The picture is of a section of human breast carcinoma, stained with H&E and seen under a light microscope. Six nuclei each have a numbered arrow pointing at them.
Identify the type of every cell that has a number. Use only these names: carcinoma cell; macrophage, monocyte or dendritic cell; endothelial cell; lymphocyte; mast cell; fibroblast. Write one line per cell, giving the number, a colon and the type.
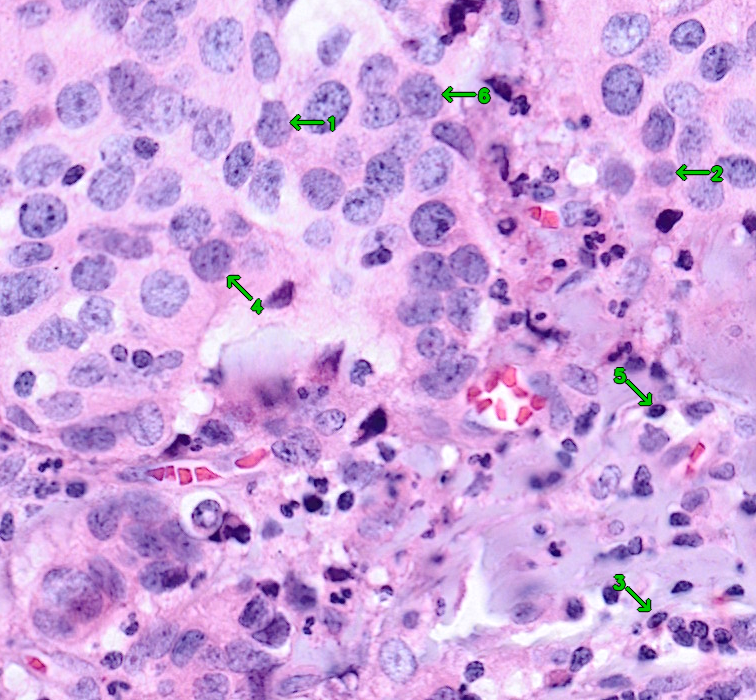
1: carcinoma cell
2: carcinoma cell
3: lymphocyte
4: carcinoma cell
5: lymphocyte
6: carcinoma cell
